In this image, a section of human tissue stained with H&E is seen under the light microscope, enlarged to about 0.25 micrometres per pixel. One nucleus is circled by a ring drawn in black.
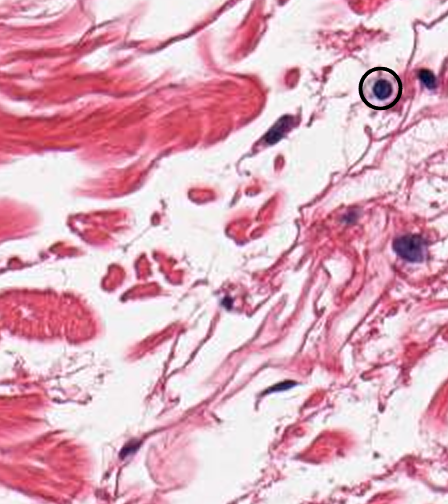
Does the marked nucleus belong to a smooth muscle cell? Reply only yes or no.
no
